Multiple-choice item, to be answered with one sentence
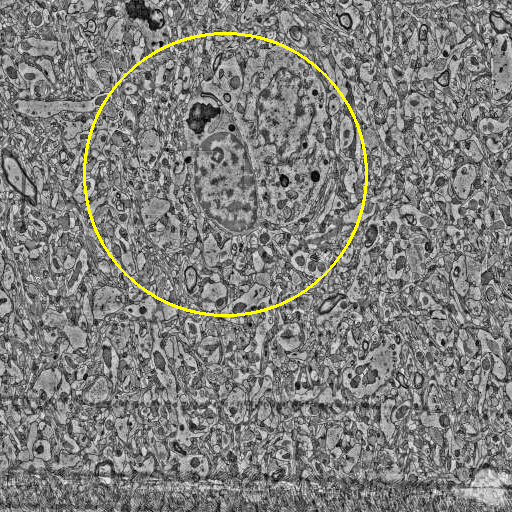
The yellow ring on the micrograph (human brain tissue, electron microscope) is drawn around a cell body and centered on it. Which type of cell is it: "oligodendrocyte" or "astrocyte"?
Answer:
The ring is centered on an oligodendrocyte.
